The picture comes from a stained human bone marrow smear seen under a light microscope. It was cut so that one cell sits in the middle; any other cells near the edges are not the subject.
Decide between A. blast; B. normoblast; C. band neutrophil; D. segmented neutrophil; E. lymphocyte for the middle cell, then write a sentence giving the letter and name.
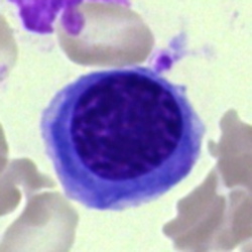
The one cell at the centre is a normoblast, as correctly stated in option B.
